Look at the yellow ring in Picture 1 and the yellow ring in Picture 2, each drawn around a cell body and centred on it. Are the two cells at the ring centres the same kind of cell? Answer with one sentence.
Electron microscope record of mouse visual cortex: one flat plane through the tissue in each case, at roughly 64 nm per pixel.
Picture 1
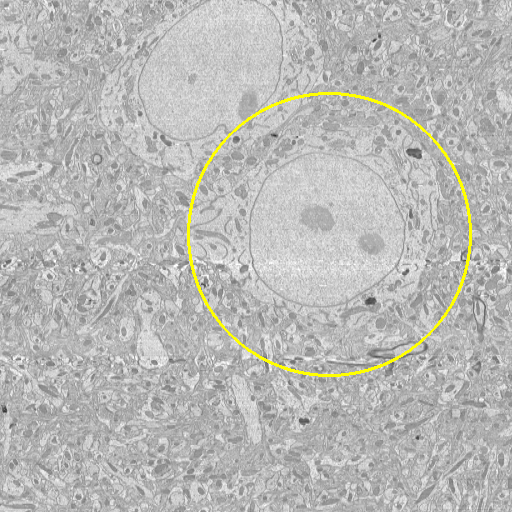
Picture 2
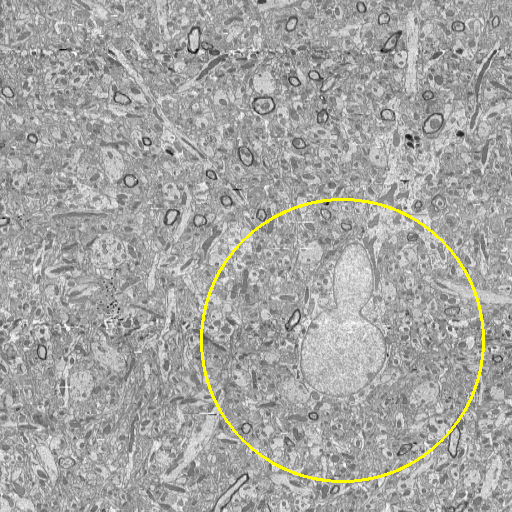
No, they are cells of two kinds.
